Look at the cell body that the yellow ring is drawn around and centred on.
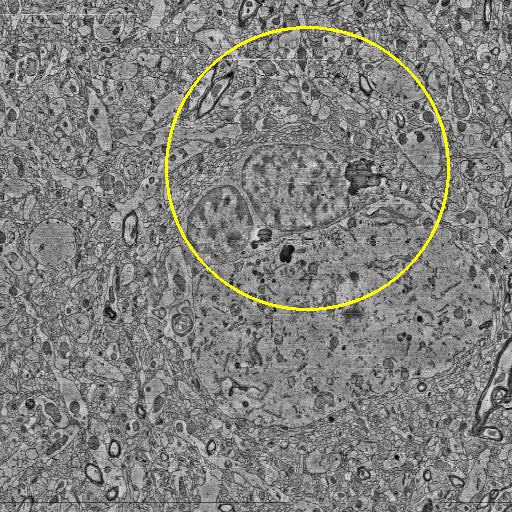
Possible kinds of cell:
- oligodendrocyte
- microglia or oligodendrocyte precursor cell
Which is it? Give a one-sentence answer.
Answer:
The centred cell body is that of an oligodendrocyte.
